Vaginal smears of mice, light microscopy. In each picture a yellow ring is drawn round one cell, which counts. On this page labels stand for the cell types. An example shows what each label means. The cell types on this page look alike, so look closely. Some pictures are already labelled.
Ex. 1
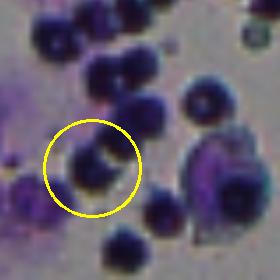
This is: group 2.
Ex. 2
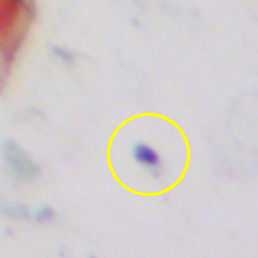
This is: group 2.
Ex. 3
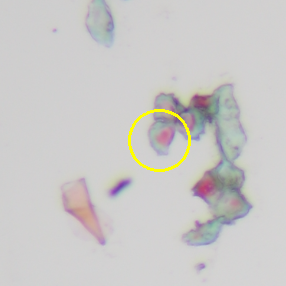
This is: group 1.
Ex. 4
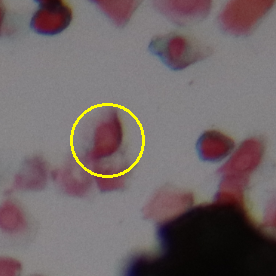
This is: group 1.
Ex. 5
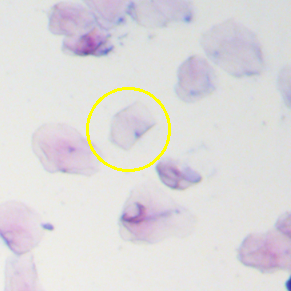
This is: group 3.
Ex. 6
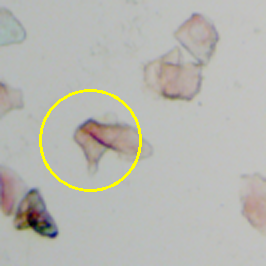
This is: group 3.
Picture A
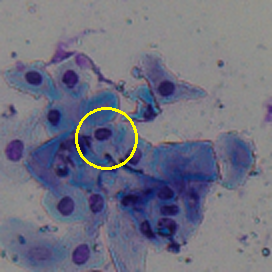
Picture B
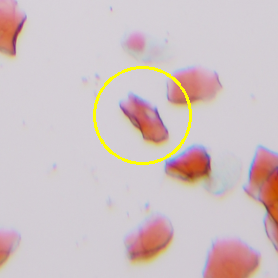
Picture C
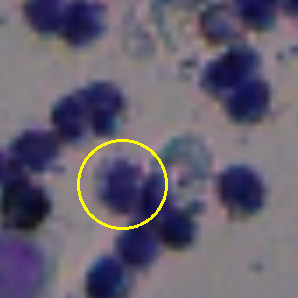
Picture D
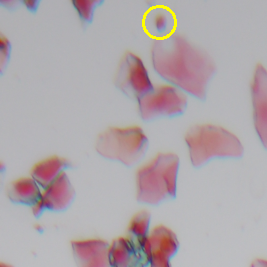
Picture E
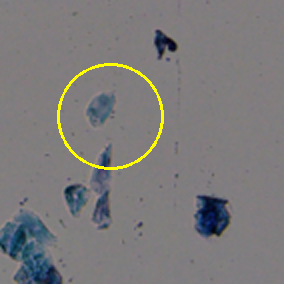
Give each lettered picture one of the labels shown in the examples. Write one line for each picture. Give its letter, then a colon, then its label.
A: group 1.
B: group 3.
C: group 2.
D: group 2.
E: group 3.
